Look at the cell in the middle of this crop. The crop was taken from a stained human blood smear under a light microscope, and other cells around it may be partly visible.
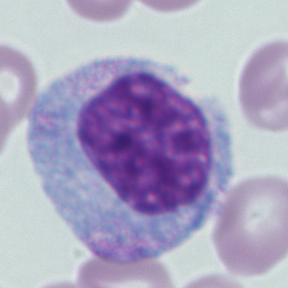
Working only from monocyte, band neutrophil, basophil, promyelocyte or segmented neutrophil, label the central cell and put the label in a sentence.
Classified as a promyelocyte is the cell in the middle of this crop.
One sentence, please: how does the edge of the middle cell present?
A ragged or projecting edge replaces the smooth outline in this cell.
